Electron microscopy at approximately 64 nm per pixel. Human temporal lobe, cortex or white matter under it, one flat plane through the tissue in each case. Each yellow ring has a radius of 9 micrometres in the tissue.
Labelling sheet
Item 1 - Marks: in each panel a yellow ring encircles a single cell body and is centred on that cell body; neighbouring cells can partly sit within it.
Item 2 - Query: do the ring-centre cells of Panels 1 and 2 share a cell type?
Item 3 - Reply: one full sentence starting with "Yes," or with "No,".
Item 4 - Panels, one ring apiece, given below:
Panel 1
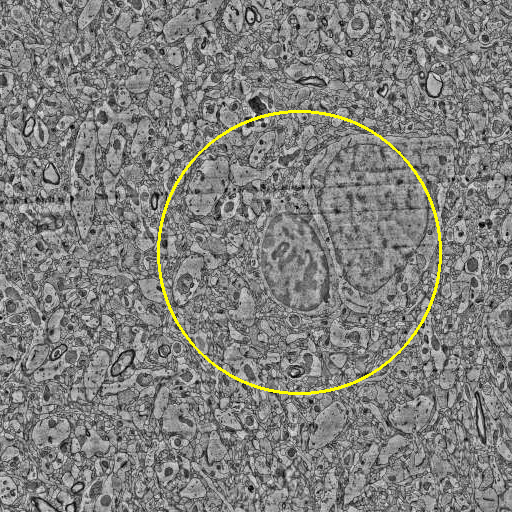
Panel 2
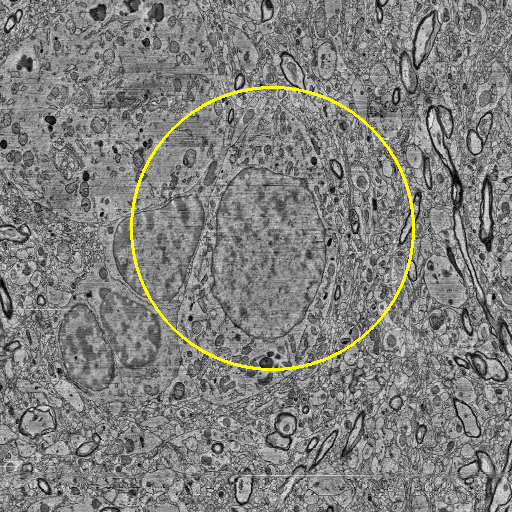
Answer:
No, Panel 1 and Panel 2 show two cell types at the centres of their rings.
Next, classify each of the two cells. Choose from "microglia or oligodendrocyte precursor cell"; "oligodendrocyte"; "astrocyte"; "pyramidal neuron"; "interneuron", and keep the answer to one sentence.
In the first picture it is an oligodendrocyte; in the second it is an interneuron.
